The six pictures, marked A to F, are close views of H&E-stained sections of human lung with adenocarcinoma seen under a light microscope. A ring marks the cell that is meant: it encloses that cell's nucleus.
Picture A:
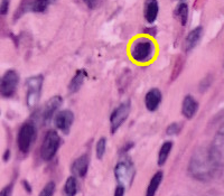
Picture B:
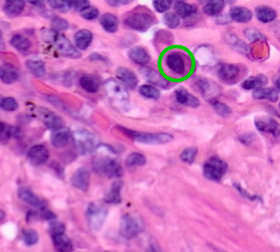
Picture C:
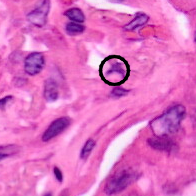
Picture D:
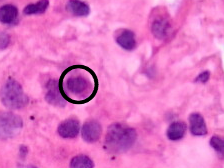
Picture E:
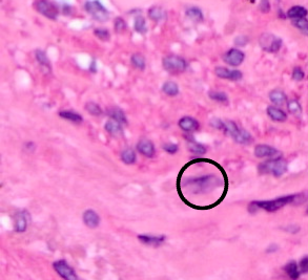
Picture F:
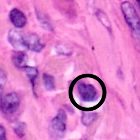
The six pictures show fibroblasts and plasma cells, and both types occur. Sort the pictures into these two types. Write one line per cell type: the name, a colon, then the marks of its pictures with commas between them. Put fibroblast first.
fibroblast: C, E
plasma cell: A, B, D, F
